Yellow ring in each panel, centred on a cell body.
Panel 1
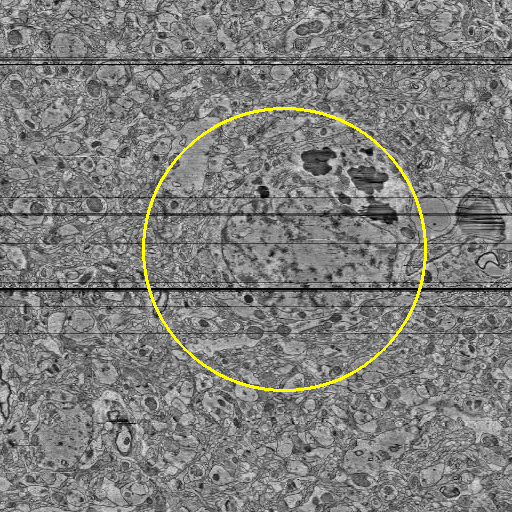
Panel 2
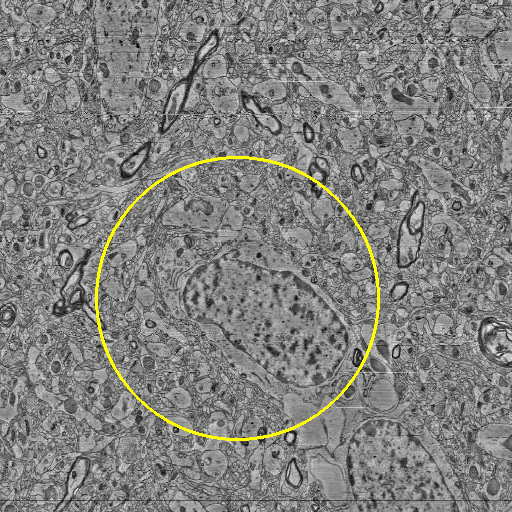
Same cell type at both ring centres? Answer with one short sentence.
No, the two cells are of two types.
